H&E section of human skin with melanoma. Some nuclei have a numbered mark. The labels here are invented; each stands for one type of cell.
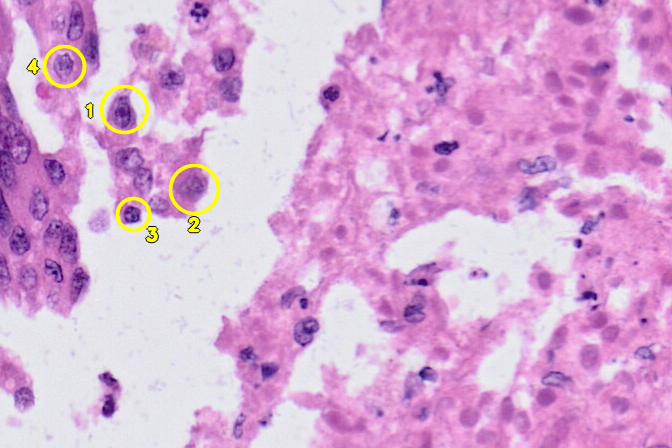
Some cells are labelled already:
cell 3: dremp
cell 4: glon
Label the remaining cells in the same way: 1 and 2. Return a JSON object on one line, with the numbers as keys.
{"1": "glon", "2": "glon"}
